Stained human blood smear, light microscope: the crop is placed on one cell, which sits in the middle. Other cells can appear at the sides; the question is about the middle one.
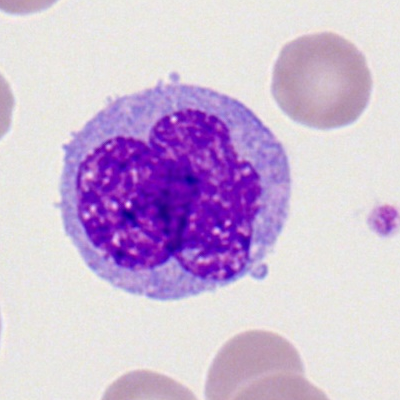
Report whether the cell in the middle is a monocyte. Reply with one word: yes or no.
yes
